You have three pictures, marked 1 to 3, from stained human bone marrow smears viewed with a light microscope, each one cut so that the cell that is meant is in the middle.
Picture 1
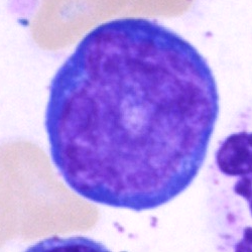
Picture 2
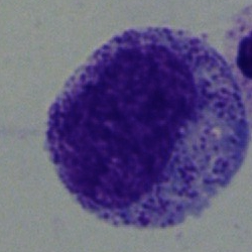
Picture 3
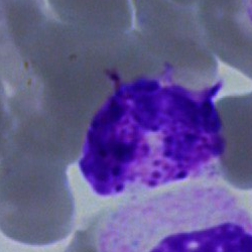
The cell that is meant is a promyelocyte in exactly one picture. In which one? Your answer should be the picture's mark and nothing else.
2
